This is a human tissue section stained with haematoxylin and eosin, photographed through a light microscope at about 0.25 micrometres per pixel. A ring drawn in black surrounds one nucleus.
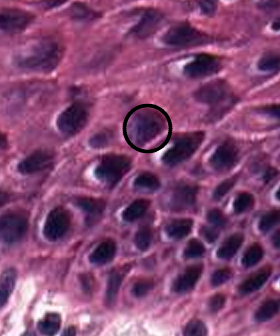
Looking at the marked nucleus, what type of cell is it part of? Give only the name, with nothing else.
squamous epithelial cell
